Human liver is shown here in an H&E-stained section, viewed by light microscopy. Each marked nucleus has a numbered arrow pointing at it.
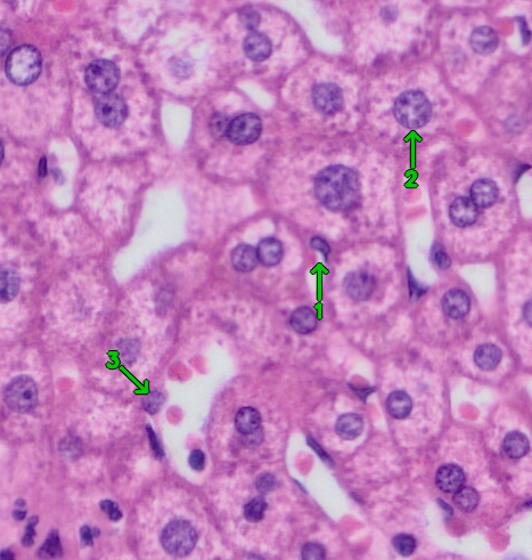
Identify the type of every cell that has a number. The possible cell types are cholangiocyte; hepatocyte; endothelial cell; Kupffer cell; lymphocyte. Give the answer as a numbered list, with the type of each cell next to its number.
1. endothelial cell
2. hepatocyte
3. Kupffer cell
